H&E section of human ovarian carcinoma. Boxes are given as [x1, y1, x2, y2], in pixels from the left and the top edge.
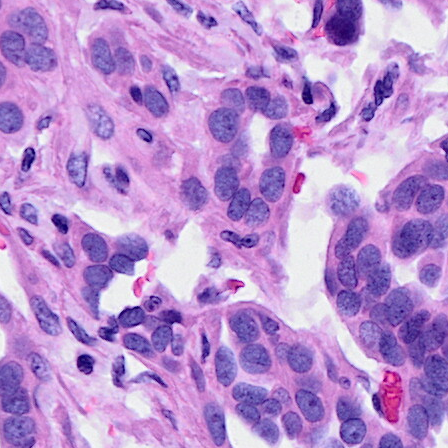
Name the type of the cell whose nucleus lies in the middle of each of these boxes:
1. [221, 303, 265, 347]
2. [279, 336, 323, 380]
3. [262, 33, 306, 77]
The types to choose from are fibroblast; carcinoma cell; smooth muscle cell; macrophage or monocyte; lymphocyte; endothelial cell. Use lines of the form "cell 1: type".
cell 1: carcinoma cell
cell 2: carcinoma cell
cell 3: fibroblast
